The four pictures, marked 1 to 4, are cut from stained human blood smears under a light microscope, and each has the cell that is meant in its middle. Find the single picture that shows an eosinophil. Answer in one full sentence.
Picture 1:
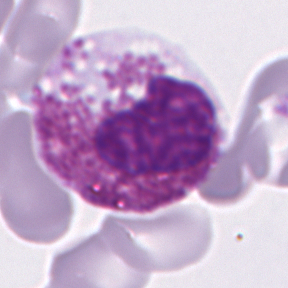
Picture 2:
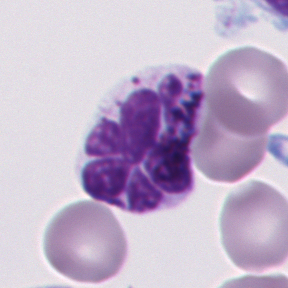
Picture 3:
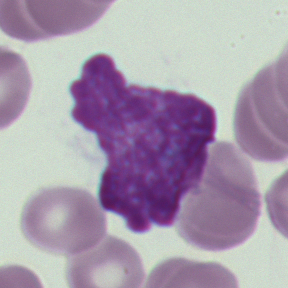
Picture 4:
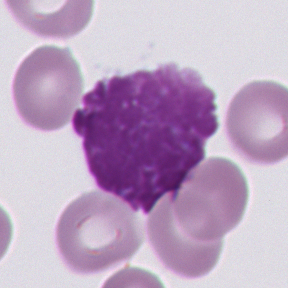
The cell in picture 1 is the eosinophil.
